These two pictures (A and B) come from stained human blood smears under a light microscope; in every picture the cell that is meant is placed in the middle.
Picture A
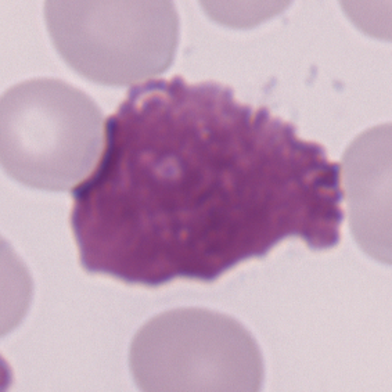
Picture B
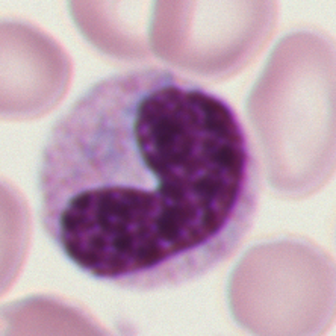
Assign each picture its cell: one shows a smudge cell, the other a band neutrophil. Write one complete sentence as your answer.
It is picture A that shows a smudge cell, and picture B that shows a band neutrophil.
